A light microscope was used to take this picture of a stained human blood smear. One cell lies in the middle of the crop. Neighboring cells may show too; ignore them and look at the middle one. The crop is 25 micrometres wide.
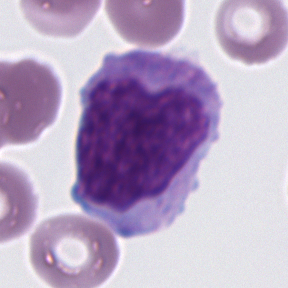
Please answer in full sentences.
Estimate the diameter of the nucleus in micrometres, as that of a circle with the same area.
The diameter of the nucleus comes to about 11 micrometres.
